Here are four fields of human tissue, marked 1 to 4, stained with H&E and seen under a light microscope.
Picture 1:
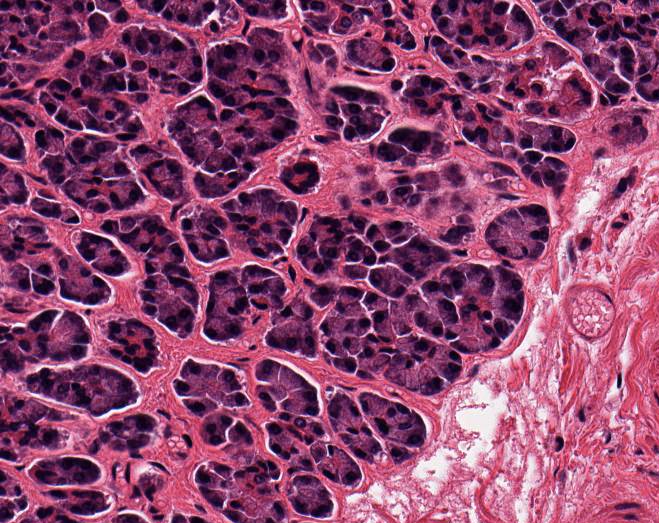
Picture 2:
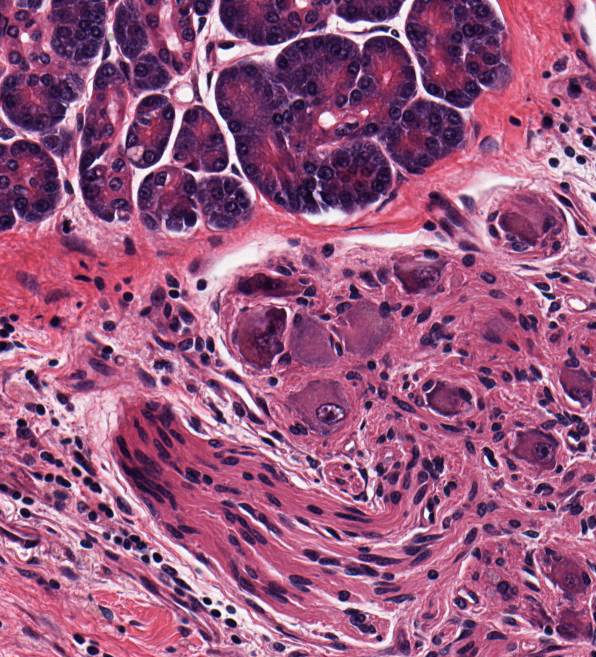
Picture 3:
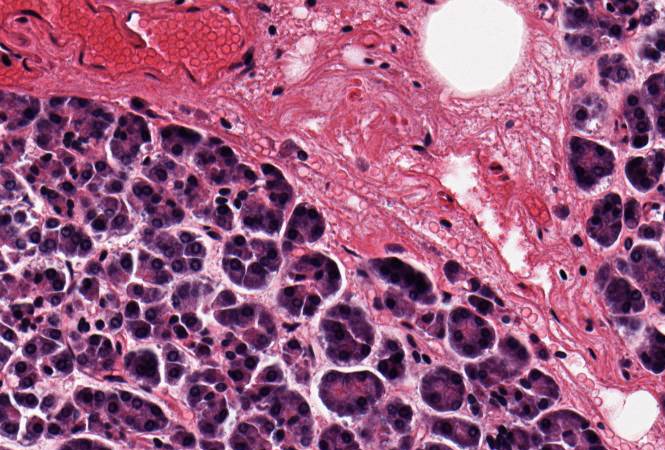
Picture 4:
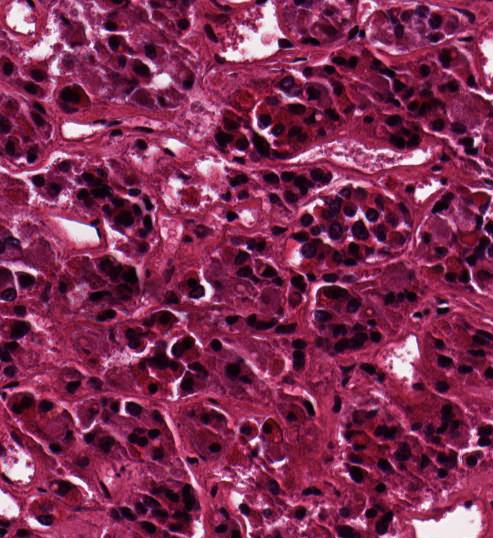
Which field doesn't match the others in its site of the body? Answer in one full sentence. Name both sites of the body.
Unlike the rest, which come from the pancreas, picture 4 comes from the pituitary.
